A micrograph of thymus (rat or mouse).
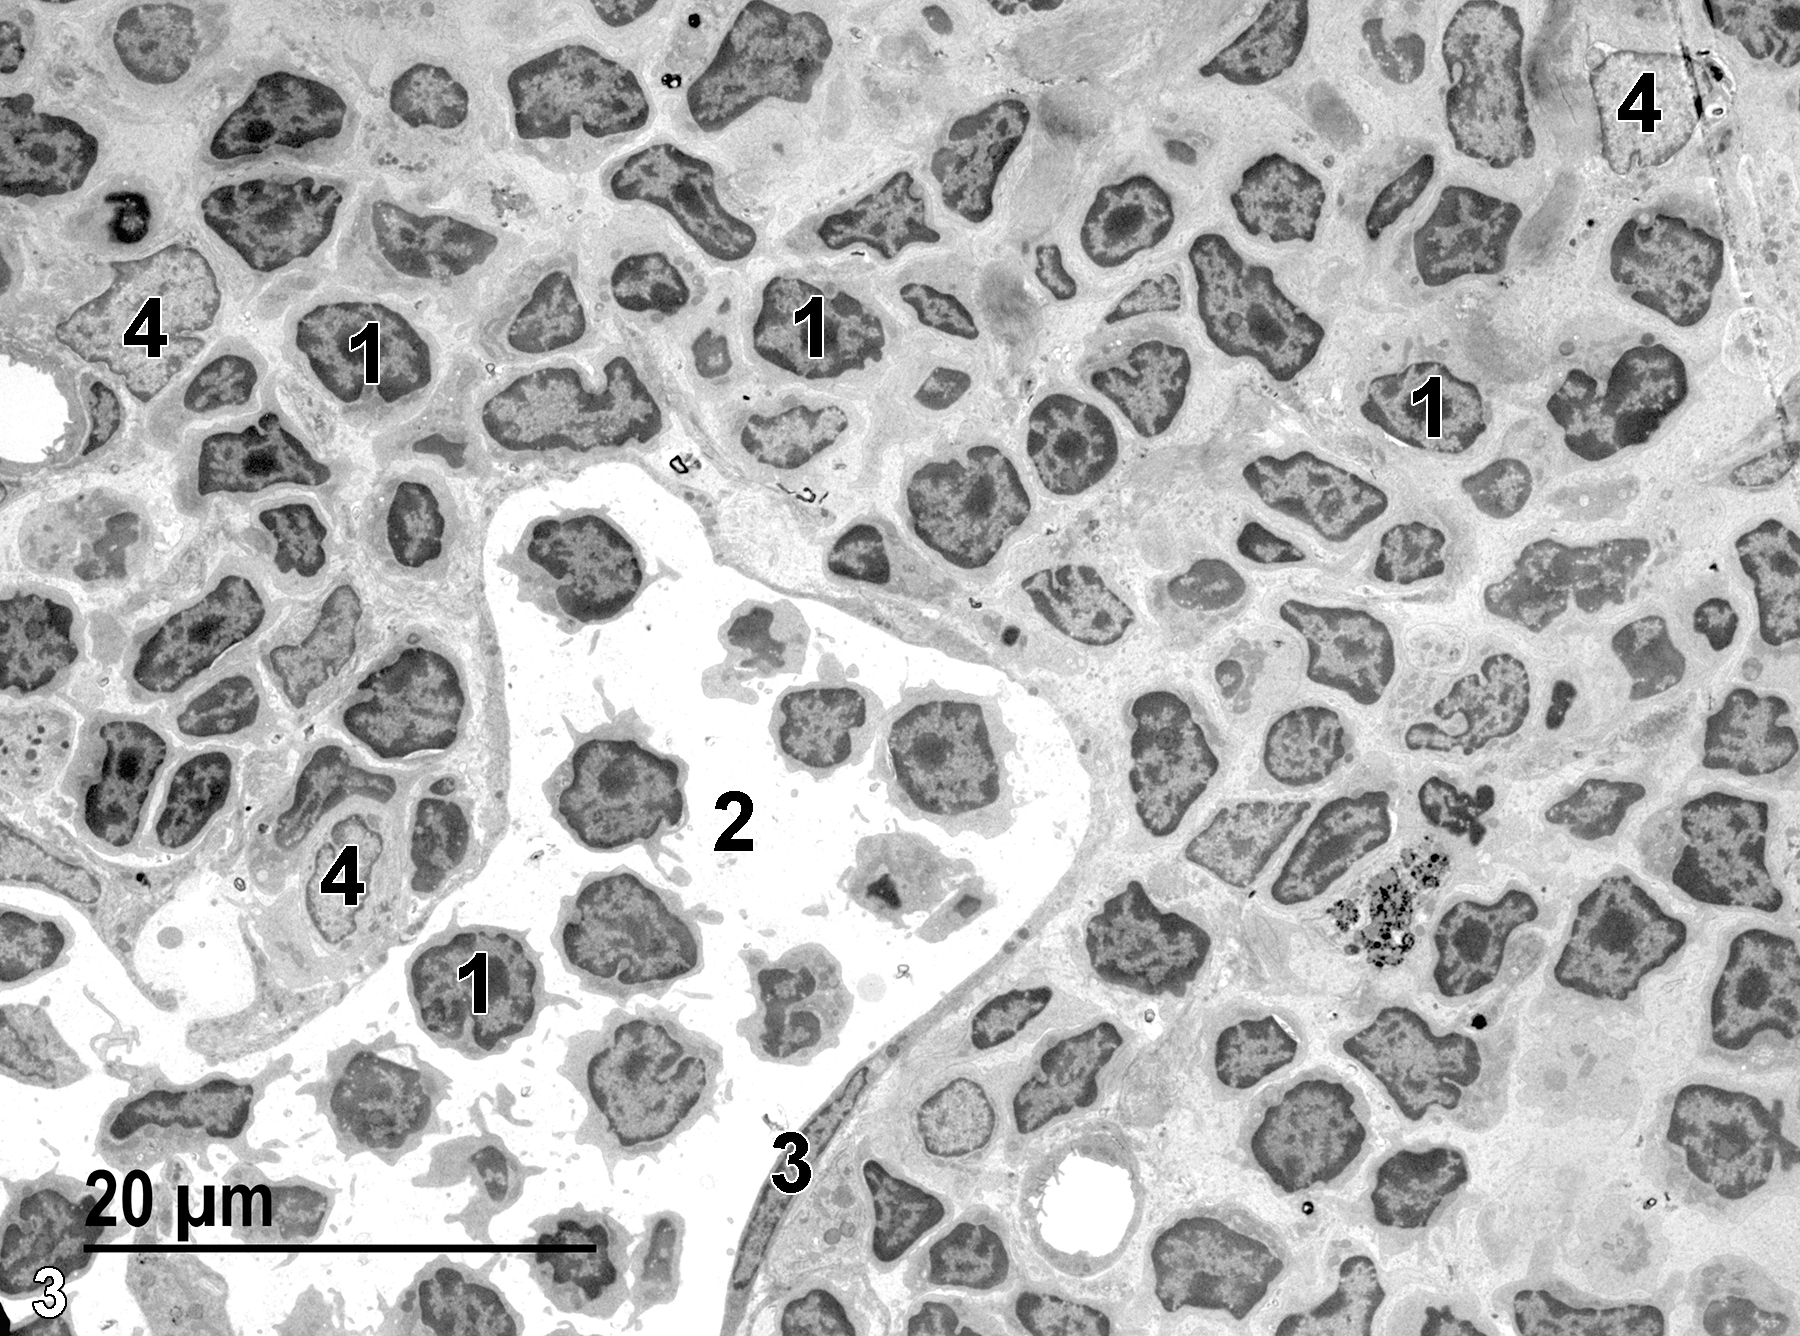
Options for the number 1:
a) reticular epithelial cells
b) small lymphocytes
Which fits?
b) small lymphocytes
